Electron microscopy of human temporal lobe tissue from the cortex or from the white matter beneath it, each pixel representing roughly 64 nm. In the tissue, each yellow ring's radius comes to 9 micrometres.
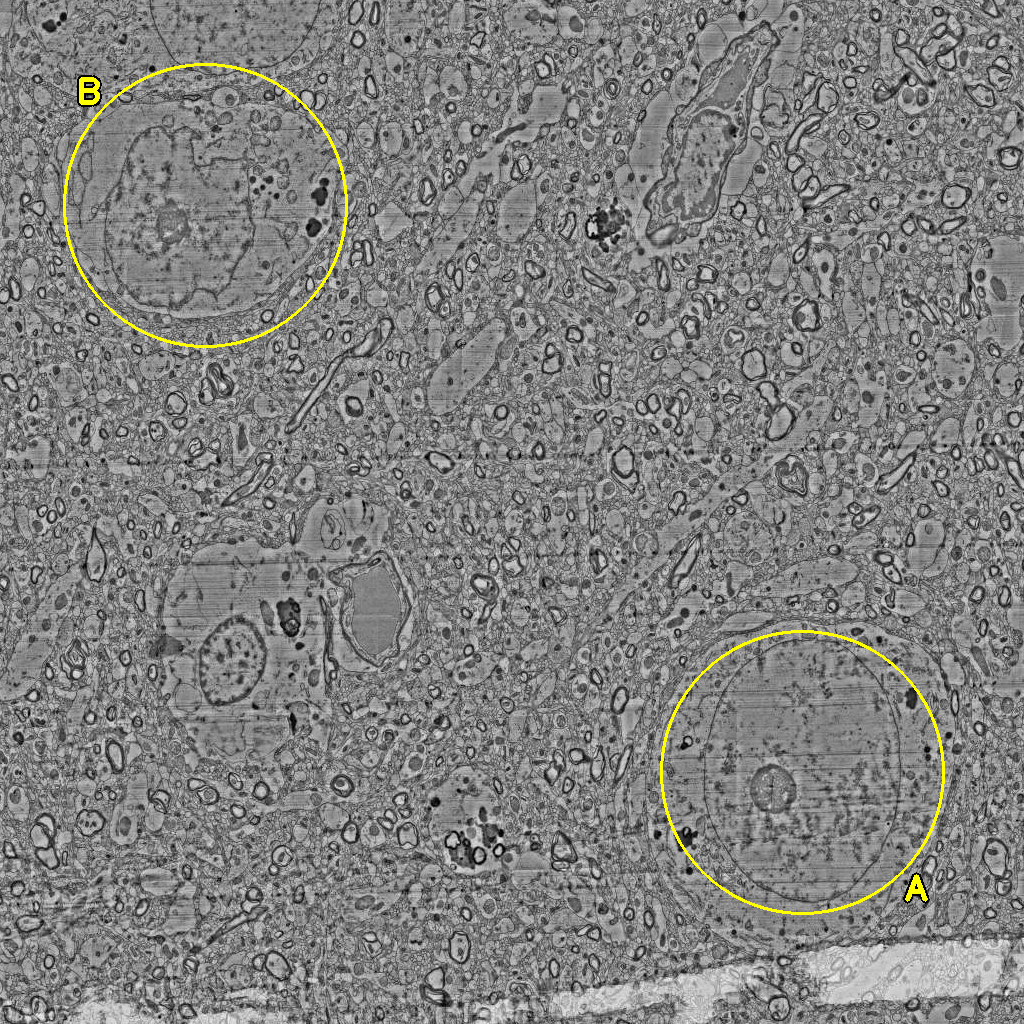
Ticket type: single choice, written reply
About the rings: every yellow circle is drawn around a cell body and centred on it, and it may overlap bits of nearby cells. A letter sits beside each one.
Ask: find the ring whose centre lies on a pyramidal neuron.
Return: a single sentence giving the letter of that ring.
At the centre of the ring marked A lies the cell asked for.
